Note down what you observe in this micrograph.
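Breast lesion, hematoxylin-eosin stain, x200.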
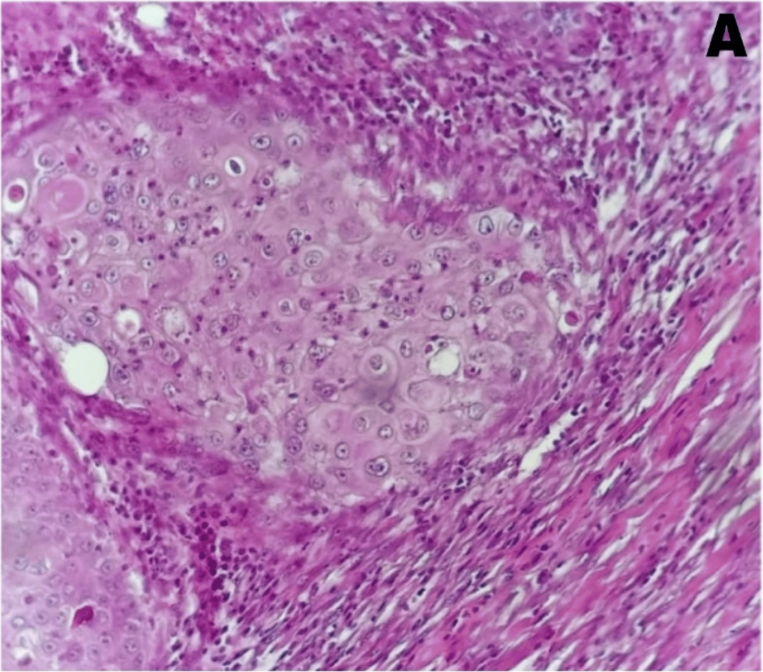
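This is a nest of squamous carcinoma cells lying within a cellular, inflamed stroma. The tumour cells are large and polygonal, with abundant pink to pale eosinophilic cytoplasm and fairly distinct cell borders. Their nuclei are round to oval, moderately enlarged and vary somewhat in size, with open chromatin and visible nucleoli. Some cells show dense, glassy pink cytoplasm, in keeping with individual cell keratinization, and a few small clear spaces lie within the nest. Around the nest the stroma contains spindle-shaped cells and many small dark inflammatory cells.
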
